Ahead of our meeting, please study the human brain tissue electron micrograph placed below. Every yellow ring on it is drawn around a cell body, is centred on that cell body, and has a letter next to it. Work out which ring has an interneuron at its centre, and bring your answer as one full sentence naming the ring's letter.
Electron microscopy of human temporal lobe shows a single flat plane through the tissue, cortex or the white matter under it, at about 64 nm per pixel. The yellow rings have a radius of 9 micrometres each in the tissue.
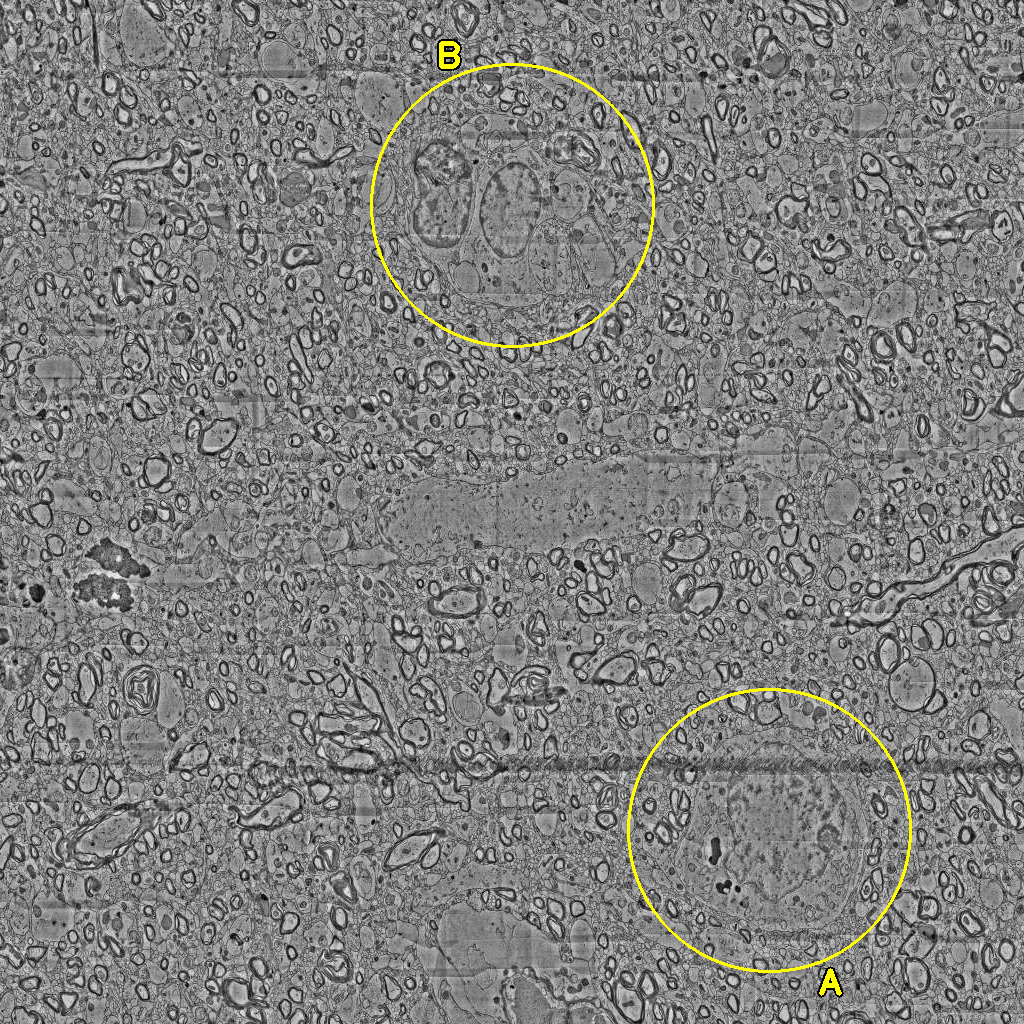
In the micrograph, ring A is the one centred on the cell I was asked to find.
